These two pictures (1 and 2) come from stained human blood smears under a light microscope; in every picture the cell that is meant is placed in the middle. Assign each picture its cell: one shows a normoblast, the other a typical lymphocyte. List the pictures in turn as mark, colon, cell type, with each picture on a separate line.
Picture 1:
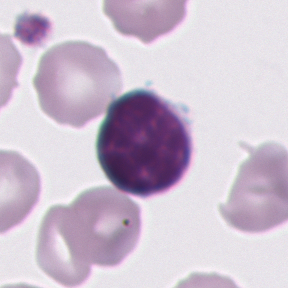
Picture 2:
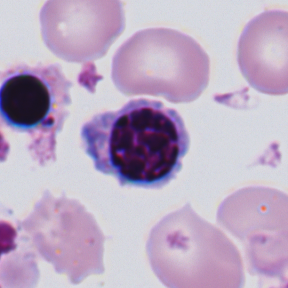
1: typical lymphocyte
2: normoblast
